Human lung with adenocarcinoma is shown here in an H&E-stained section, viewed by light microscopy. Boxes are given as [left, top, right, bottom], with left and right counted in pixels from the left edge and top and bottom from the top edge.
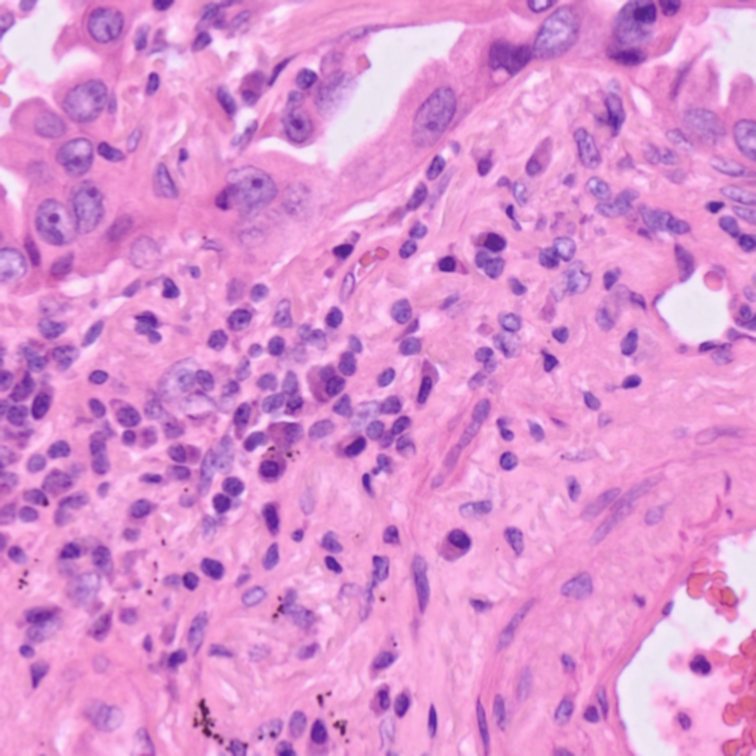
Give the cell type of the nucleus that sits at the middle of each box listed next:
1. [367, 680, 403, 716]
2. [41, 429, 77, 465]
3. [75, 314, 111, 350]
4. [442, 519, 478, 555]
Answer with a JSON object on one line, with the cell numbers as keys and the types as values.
{"1": "plasma cell", "2": "lymphocyte", "3": "lymphocyte", "4": "plasma cell"}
